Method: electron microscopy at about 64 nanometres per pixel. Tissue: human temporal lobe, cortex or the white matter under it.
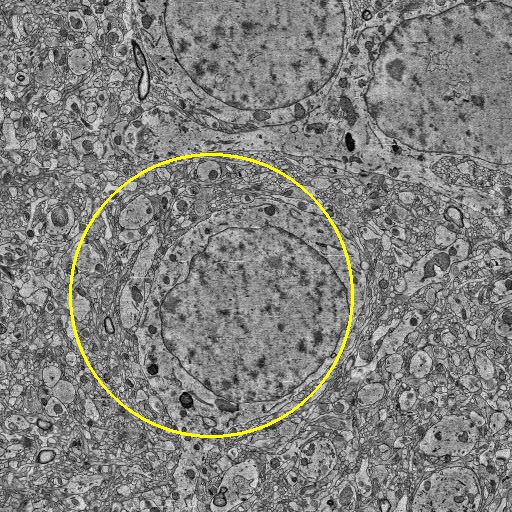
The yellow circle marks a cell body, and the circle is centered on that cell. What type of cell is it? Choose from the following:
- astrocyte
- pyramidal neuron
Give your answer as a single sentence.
This cell body belongs to a pyramidal neuron.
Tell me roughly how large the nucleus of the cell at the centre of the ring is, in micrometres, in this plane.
Approximately 12 micrometers across in this plane.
